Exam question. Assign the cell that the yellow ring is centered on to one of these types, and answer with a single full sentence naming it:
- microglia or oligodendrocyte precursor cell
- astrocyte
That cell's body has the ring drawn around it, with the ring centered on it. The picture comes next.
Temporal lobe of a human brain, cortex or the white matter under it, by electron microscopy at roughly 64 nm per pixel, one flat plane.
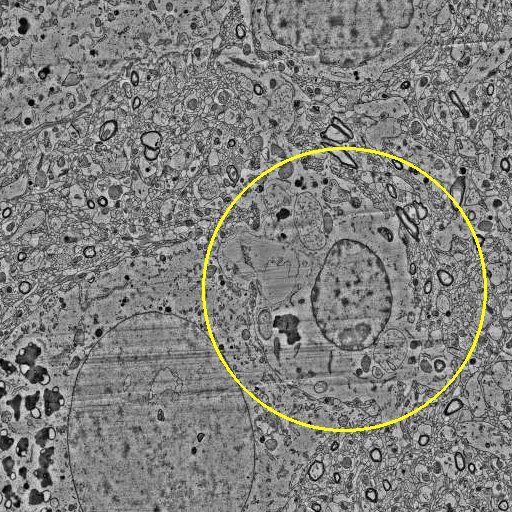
In the micrograph, the cell the yellow ring is centered on is an astrocyte.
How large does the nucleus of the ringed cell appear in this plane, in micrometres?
About 7 by 5 micrometres in this plane.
